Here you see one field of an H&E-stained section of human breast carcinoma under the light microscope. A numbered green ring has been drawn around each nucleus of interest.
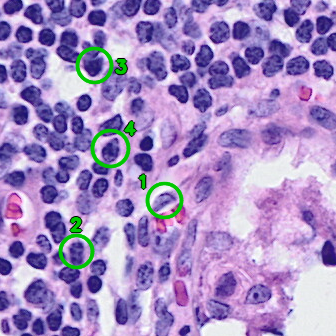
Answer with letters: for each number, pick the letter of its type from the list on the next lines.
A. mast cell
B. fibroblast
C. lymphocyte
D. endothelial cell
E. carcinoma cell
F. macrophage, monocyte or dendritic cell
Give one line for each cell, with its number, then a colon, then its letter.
1: D
2: C
3: C
4: C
